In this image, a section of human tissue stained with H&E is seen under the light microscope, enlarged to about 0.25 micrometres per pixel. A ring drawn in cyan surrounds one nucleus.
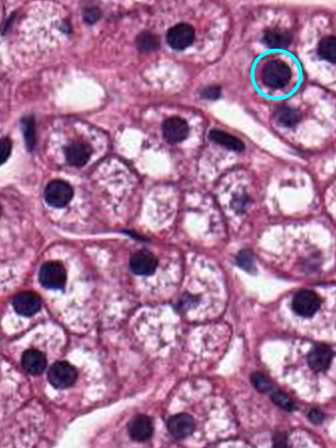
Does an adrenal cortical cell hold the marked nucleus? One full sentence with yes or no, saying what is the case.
Yes, the marked nucleus is located in an adrenal cortical cell.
